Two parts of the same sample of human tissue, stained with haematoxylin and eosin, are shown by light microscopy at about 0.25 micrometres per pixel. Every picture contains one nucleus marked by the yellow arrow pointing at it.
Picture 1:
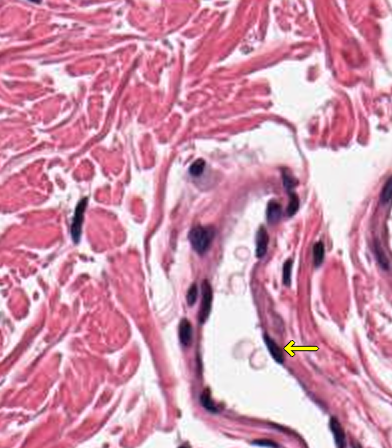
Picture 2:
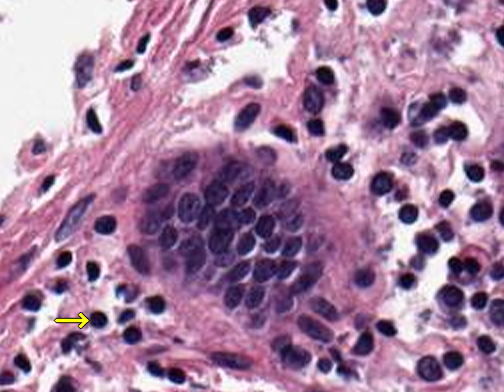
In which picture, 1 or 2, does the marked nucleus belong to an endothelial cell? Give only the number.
1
